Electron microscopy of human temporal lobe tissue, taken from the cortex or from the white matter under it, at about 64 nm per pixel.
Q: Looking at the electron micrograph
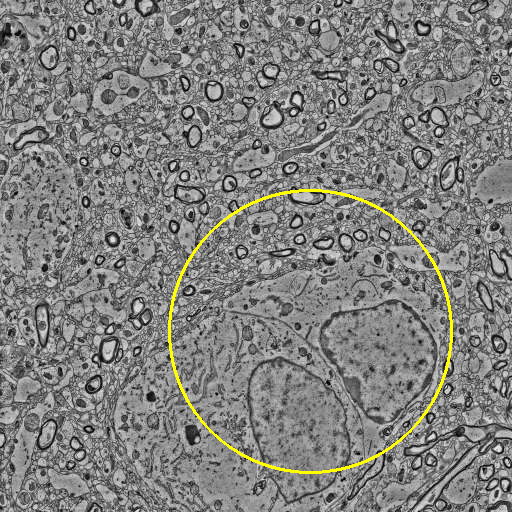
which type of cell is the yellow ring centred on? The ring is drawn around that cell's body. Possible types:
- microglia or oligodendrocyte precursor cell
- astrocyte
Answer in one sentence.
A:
The yellow ring is centred on a microglial cell or oligodendrocyte precursor cell.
